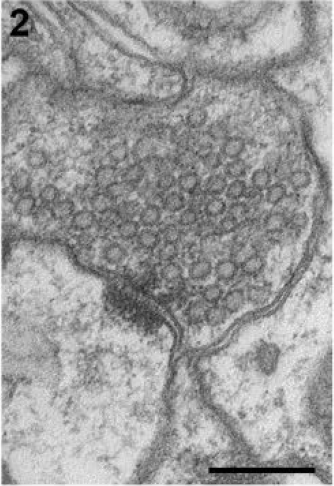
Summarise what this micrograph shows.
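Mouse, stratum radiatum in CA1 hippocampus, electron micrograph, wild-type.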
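The vesicles are small, round, clear and of fairly uniform size, crowded into a dense cluster that fills most of the terminal. The cluster abuts a short stretch of thickened, electron-dense membrane at the lower part of the terminal, where it contacts a neighbouring profile. Surrounding neuropil profiles are bounded by thin membranes.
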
